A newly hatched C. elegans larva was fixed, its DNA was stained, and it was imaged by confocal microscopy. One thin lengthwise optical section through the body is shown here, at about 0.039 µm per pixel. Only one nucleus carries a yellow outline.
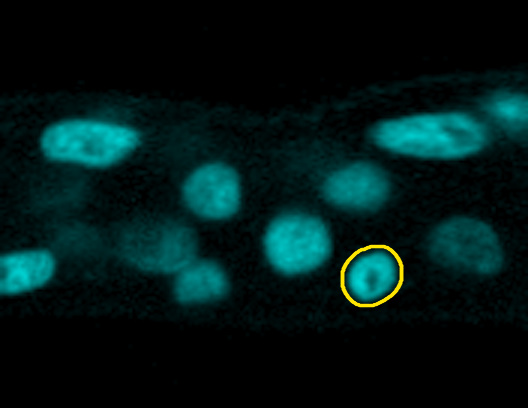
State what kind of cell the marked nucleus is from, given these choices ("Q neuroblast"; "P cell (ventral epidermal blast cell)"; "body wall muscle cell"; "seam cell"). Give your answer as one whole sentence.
What is marked is the nucleus of a body wall muscle cell.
